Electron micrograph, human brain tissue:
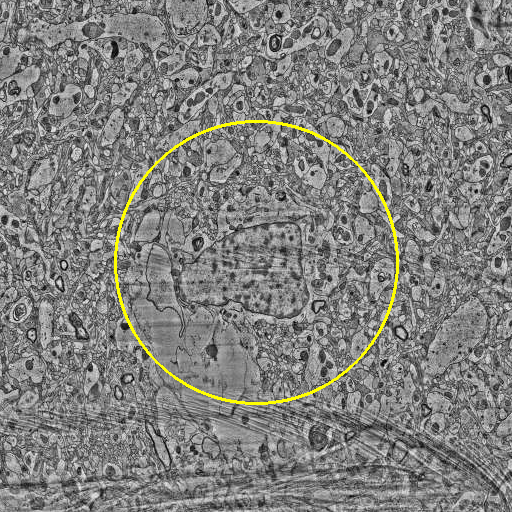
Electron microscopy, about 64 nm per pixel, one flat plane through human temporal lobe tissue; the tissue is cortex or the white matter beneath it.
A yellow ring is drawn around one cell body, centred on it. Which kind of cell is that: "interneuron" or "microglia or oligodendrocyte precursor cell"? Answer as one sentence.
It is a microglial cell or oligodendrocyte precursor cell at the centre of the ring.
